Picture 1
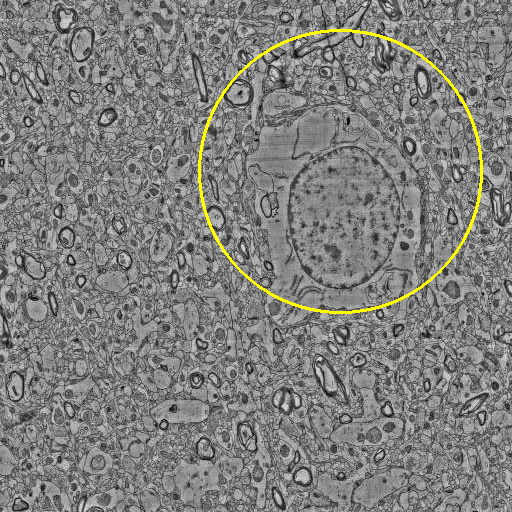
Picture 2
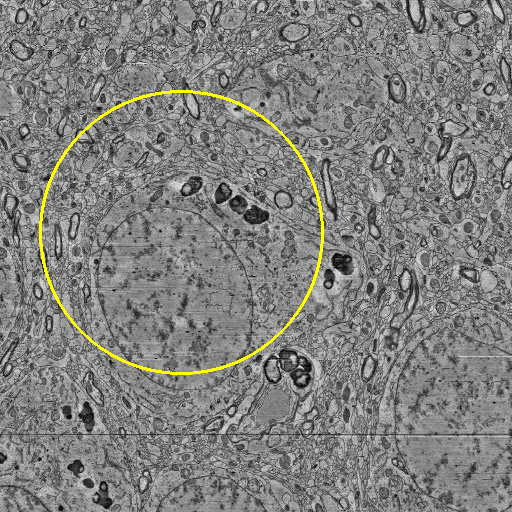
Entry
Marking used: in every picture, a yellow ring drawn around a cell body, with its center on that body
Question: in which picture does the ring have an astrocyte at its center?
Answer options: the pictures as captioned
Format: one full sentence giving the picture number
Picture 1 is where the ring's center falls on the requested cell.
